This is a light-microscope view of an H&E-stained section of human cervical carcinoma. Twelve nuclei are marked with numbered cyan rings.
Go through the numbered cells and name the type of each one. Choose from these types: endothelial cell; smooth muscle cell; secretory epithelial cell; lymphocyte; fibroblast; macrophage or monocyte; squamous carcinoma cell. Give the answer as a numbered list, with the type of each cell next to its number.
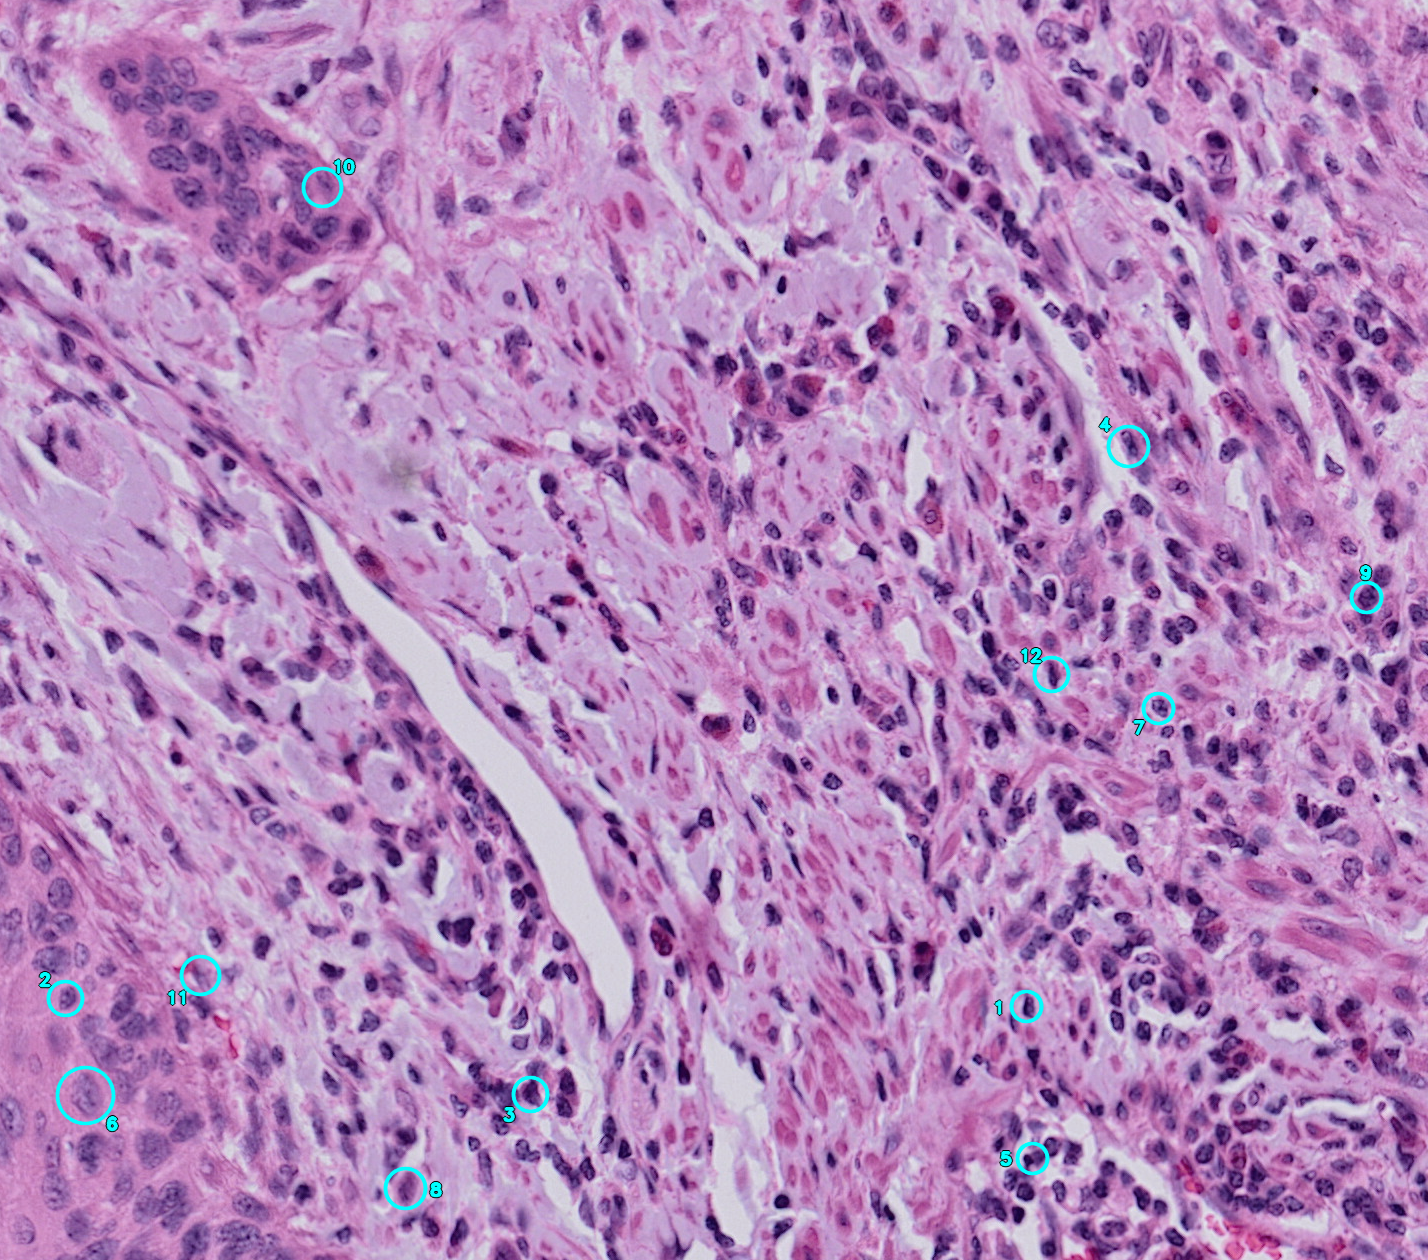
1. lymphocyte
2. squamous carcinoma cell
3. lymphocyte
4. lymphocyte
5. lymphocyte
6. squamous carcinoma cell
7. lymphocyte
8. macrophage or monocyte
9. lymphocyte
10. squamous carcinoma cell
11. endothelial cell
12. lymphocyte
